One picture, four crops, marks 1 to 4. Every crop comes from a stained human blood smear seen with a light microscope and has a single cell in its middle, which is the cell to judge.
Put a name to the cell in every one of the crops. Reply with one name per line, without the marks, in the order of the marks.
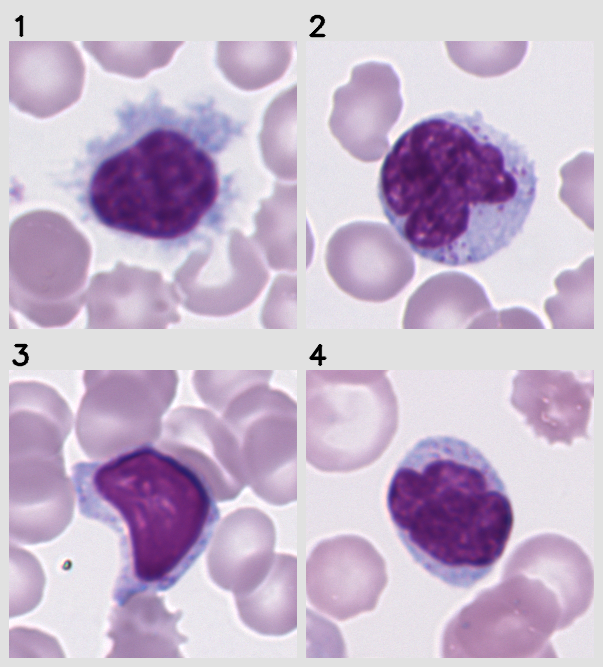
hairy cell
large granular lymphocyte
typical lymphocyte
large granular lymphocyte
